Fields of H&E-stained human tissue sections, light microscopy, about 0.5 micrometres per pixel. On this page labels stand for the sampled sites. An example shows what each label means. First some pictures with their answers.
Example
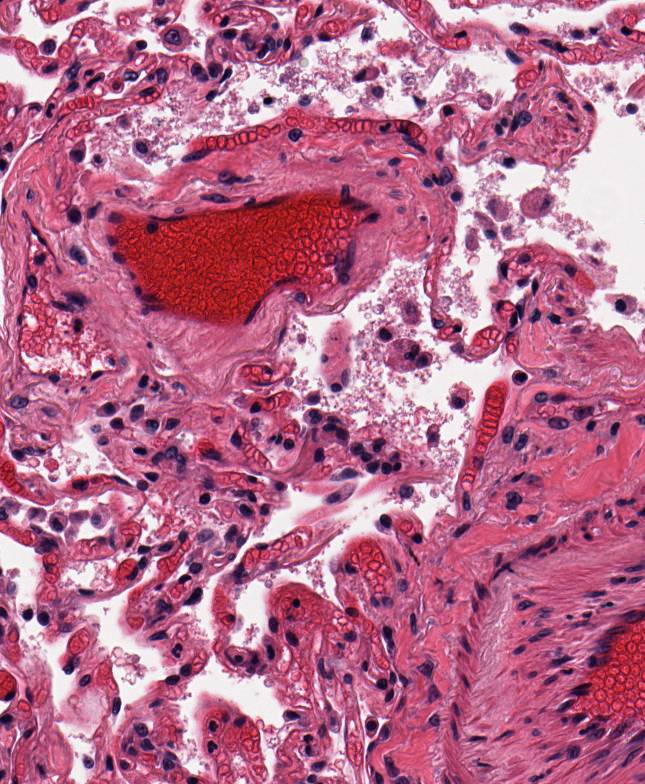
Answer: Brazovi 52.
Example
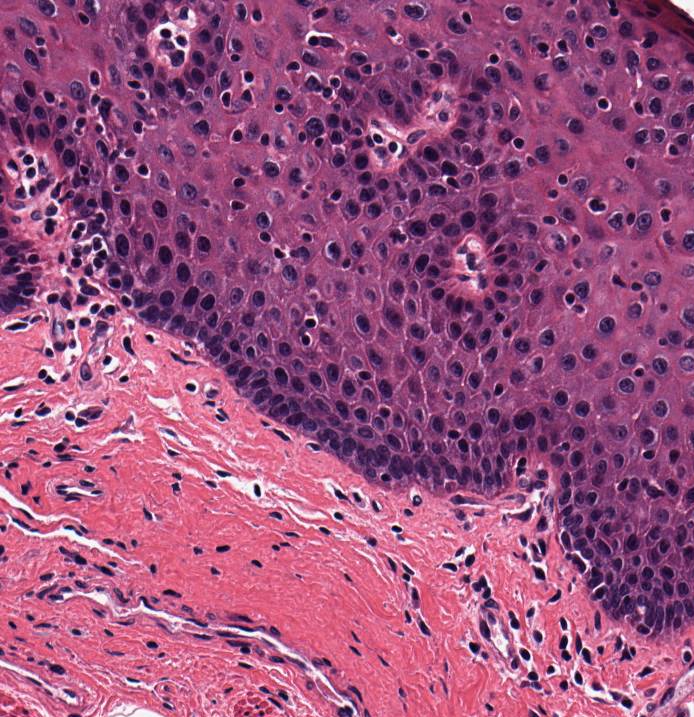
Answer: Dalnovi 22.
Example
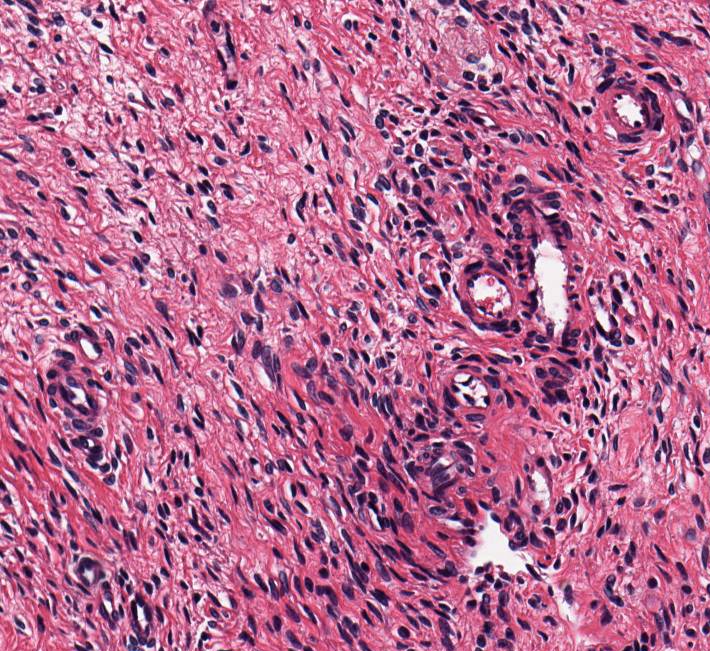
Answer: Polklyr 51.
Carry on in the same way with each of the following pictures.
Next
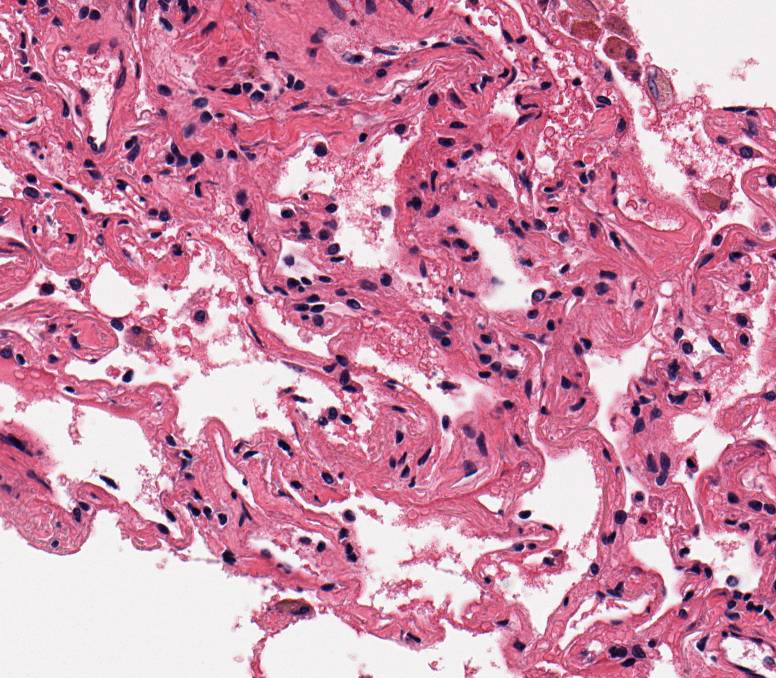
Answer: Brazovi 52.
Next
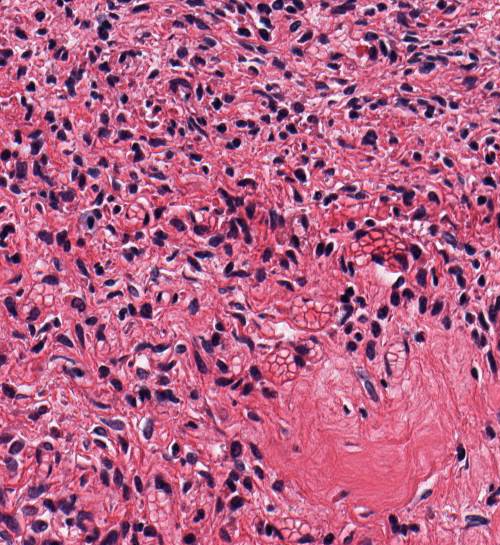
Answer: Polklyr 51.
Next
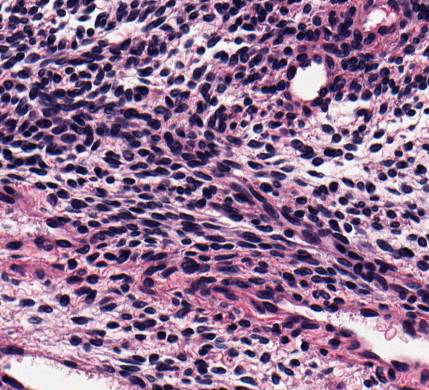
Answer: Polklyr 51.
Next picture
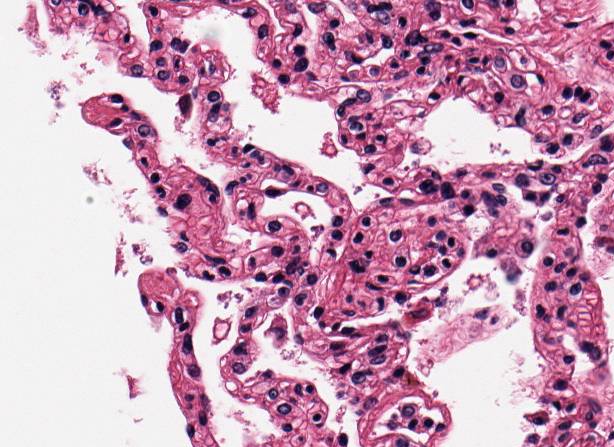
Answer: Brazovi 52.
